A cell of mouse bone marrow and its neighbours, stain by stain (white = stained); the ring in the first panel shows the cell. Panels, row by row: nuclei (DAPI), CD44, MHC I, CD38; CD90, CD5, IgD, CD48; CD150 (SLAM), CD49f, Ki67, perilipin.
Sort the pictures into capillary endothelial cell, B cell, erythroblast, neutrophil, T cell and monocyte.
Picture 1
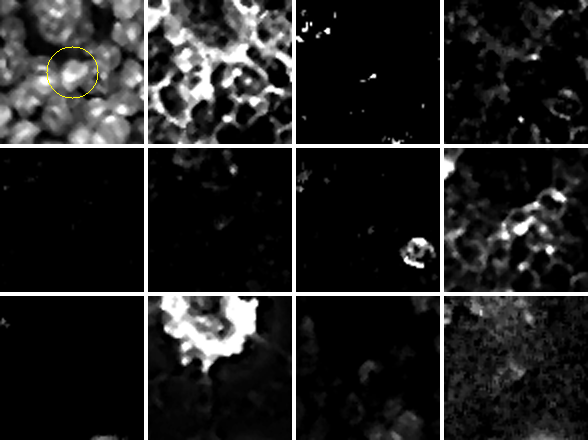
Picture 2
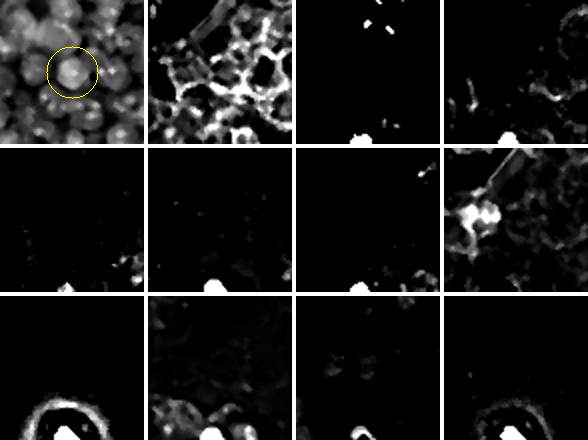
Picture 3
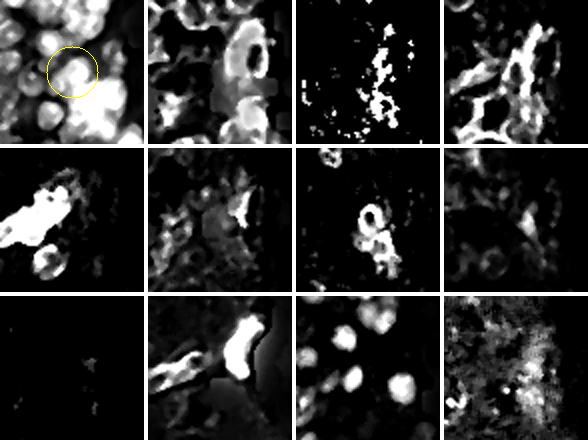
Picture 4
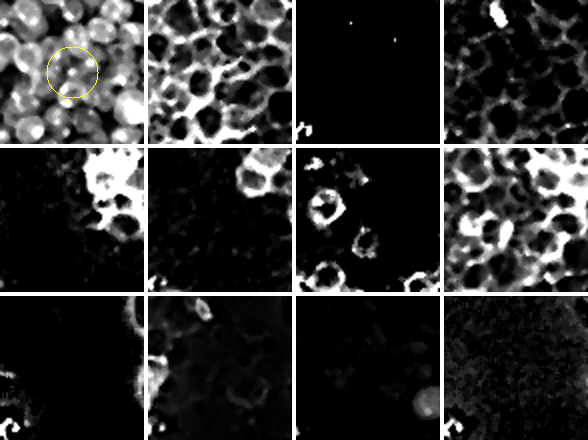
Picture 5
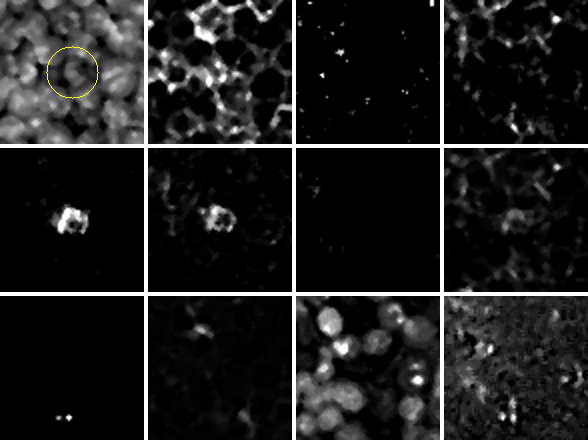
Monocytes: 1
Neutrophils: 2, 4
Capillary endothelial cells: 3
T cells: 5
